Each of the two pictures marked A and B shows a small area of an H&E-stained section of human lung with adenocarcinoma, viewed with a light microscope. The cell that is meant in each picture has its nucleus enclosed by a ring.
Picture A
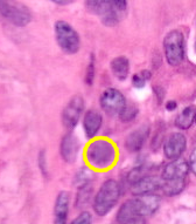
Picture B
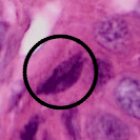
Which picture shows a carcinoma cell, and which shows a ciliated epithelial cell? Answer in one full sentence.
In picture A the cell is a ciliated epithelial cell; in picture B, a carcinoma cell.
